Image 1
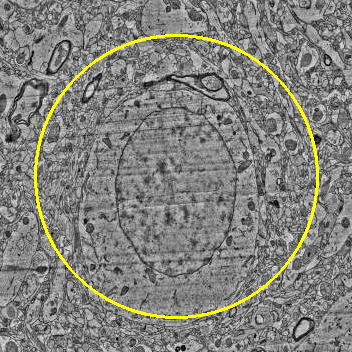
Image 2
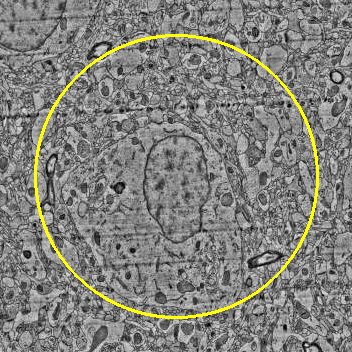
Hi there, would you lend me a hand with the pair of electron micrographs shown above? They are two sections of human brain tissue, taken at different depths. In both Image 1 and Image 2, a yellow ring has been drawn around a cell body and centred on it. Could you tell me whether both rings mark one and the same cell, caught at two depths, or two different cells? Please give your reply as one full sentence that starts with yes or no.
Yes, the second ring marks the same cell as the first.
